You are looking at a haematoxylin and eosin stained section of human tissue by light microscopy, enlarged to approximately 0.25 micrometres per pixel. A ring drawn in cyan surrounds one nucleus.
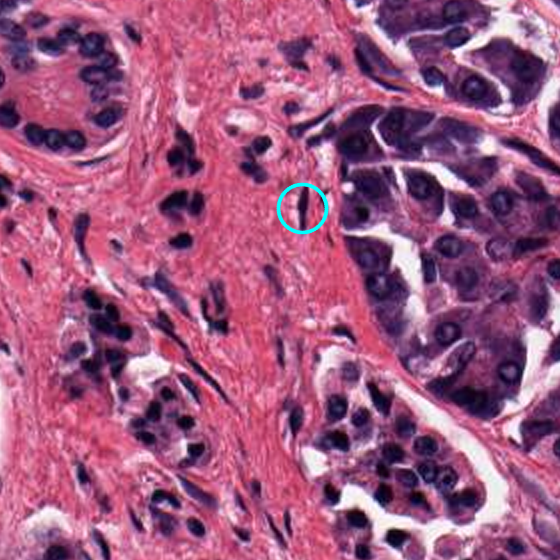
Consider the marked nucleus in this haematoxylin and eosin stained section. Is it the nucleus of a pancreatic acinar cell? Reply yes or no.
no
